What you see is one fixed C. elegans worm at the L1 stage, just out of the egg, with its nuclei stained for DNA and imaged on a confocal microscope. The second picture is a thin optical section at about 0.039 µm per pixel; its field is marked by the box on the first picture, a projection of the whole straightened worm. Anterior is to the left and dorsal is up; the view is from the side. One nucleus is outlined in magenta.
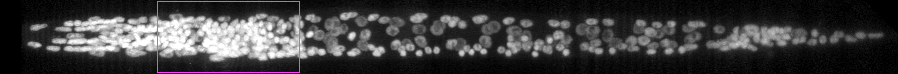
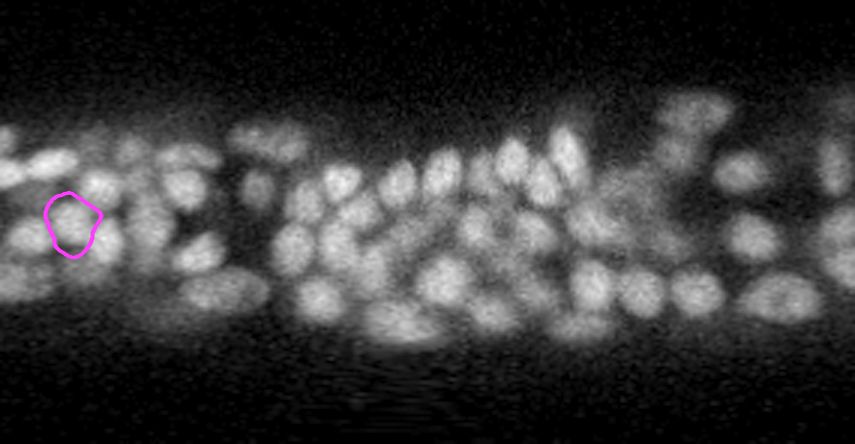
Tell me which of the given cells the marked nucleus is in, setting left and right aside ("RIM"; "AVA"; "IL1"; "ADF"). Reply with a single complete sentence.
The nucleus is from IL1, a neuron.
